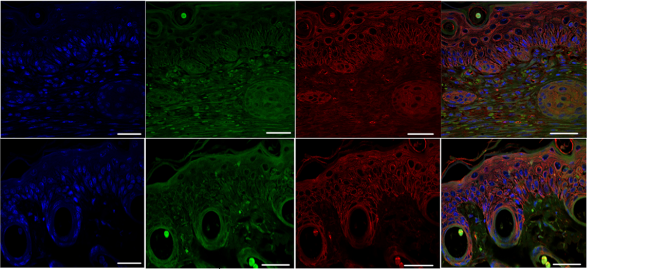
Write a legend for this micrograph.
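The cells are polygonal and sit in several tiers, each with a blue-stained nucleus. Round, ring-like follicle structures in cross section lie within and beneath the epithelium. A diffuse green signal runs through much of the tissue, with a few bright green spots inside the follicle openings.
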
